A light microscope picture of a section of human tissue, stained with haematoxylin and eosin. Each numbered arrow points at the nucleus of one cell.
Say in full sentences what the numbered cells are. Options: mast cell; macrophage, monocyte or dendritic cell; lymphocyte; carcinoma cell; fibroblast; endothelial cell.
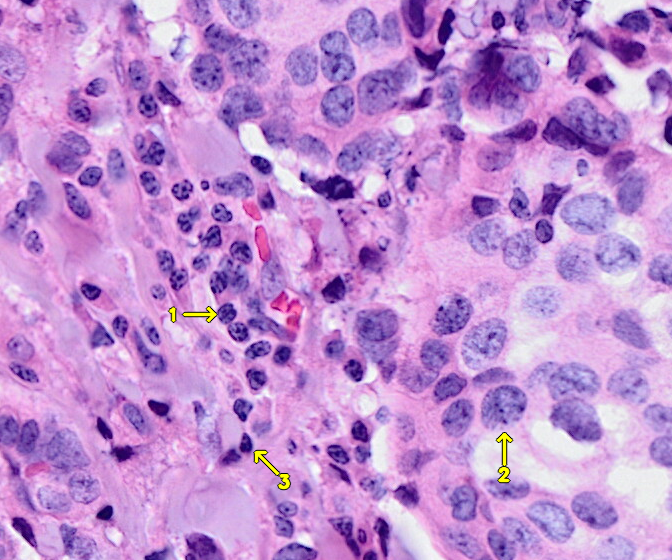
Cell 1 is a lymphocyte, cell 2 is a carcinoma cell and cell 3 is a lymphocyte.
